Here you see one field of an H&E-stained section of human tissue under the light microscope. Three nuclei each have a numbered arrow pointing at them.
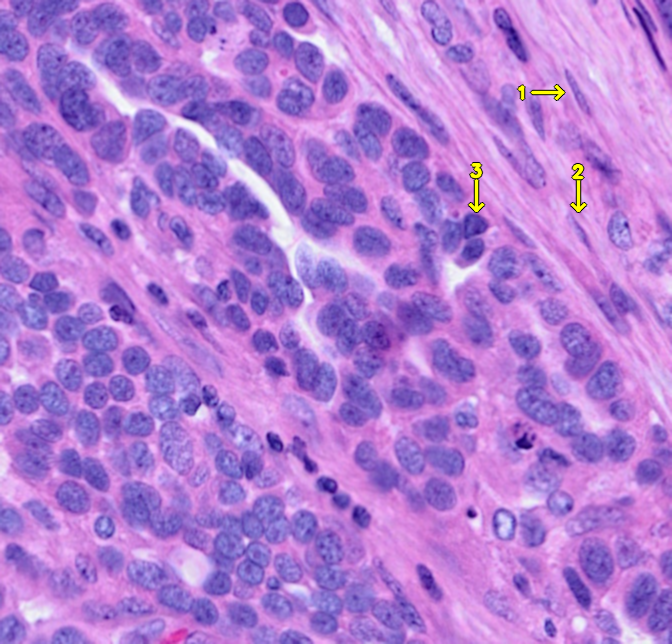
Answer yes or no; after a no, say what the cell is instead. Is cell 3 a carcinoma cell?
Yes.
